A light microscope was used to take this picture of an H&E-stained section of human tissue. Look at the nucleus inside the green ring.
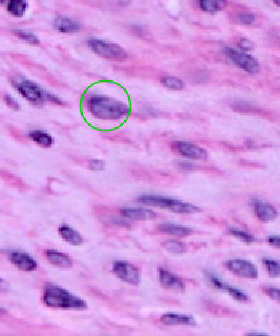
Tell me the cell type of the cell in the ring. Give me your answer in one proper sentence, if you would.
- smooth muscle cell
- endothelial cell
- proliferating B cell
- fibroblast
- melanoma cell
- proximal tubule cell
With respect to cell type, the cell in the ring is a smooth muscle cell.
